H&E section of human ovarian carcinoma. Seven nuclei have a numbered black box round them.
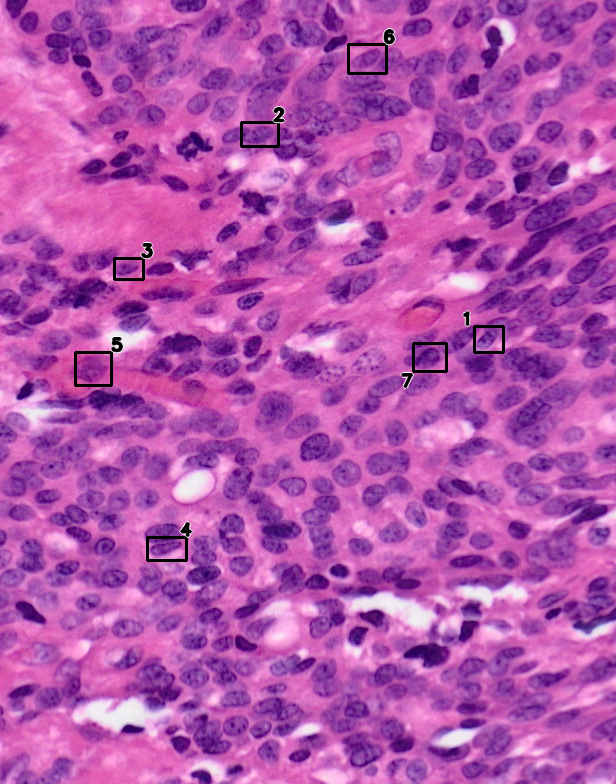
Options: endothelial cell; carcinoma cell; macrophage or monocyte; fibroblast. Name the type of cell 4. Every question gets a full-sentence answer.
The identity of cell 4 is that of a carcinoma cell.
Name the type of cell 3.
In this section, the cell tagged 3 is a macrophage or monocyte.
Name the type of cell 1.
The cell to which the number 1 is assigned is a macrophage or monocyte.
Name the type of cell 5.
The cell identified by the number 5 is an endothelial cell.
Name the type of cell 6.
The cell marked with the number 6 is a carcinoma cell.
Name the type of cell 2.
Cell number 2 in this section is a carcinoma cell.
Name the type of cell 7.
The numeral 7 marks a carcinoma cell in this section.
